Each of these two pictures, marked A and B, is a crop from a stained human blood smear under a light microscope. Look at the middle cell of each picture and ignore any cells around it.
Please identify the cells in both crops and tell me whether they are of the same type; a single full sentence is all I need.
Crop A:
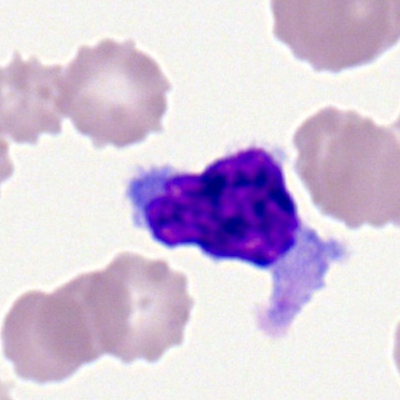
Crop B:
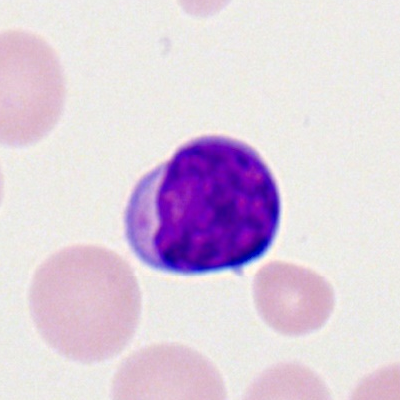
Yes, in both crops the centred cells are lymphocytes.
